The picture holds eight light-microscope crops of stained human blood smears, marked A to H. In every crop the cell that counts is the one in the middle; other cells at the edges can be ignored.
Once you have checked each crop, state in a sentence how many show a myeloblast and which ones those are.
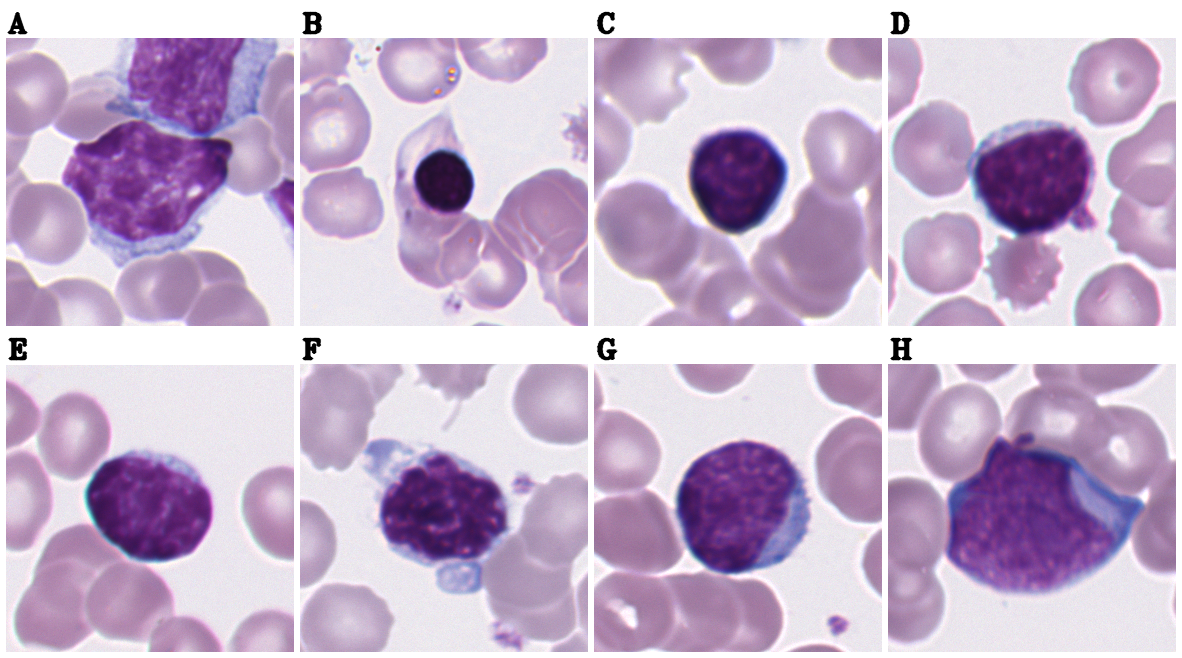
Exactly one crop, the one labelled H, contains a myeloblast as its central cell.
